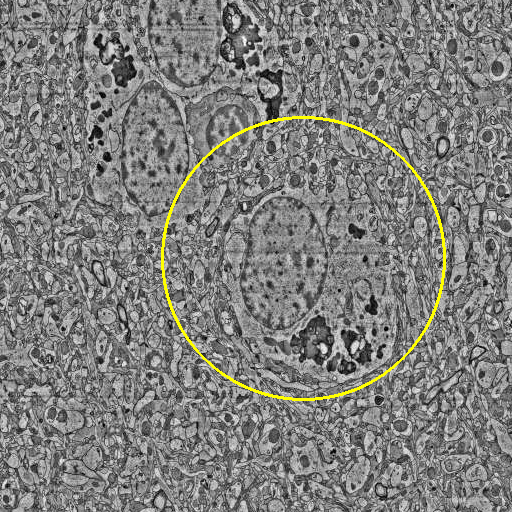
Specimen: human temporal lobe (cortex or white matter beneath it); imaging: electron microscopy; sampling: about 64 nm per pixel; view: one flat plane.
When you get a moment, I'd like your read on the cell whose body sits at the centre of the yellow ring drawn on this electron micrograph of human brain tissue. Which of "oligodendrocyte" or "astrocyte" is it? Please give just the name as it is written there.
astrocyte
